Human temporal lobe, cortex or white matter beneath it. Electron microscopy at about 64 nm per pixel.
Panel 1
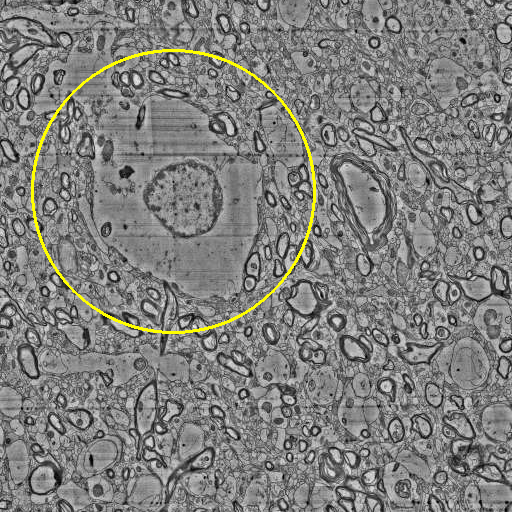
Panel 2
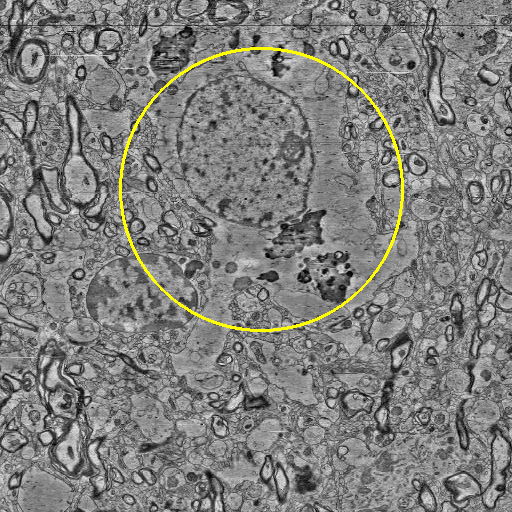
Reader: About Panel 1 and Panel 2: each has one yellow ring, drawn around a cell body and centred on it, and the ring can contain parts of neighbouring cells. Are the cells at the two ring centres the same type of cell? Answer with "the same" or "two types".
the same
